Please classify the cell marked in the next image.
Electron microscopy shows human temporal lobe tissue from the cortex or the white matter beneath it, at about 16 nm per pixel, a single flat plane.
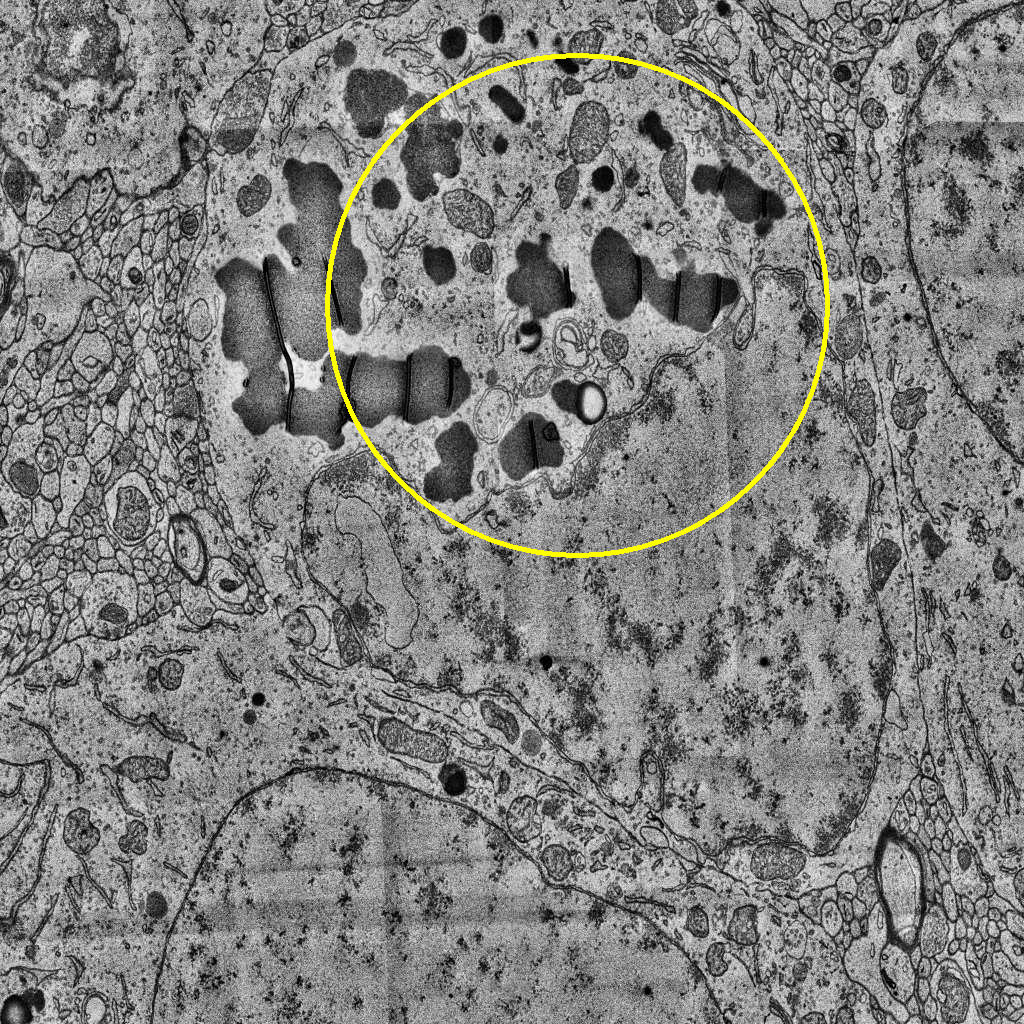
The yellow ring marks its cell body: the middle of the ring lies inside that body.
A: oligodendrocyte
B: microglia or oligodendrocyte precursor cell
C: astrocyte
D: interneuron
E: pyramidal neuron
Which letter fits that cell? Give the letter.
D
